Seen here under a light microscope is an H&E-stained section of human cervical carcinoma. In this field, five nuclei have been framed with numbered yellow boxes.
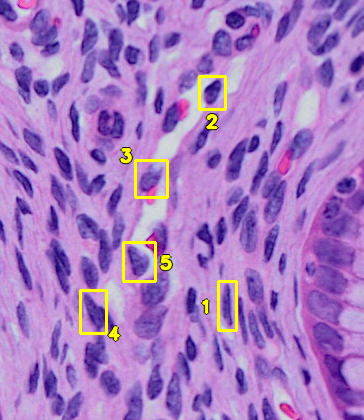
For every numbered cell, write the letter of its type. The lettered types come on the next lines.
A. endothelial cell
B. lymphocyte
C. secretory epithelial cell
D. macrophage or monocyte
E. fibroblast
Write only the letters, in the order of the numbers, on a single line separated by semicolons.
E; A; A; E; A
